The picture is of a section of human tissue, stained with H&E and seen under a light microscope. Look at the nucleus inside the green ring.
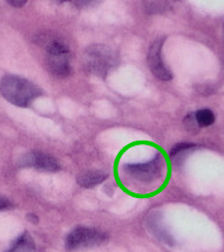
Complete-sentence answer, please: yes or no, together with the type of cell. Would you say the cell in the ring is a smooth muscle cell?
No, on this one the cell in the ring is a squamous epithelial cell, not a smooth muscle cell.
